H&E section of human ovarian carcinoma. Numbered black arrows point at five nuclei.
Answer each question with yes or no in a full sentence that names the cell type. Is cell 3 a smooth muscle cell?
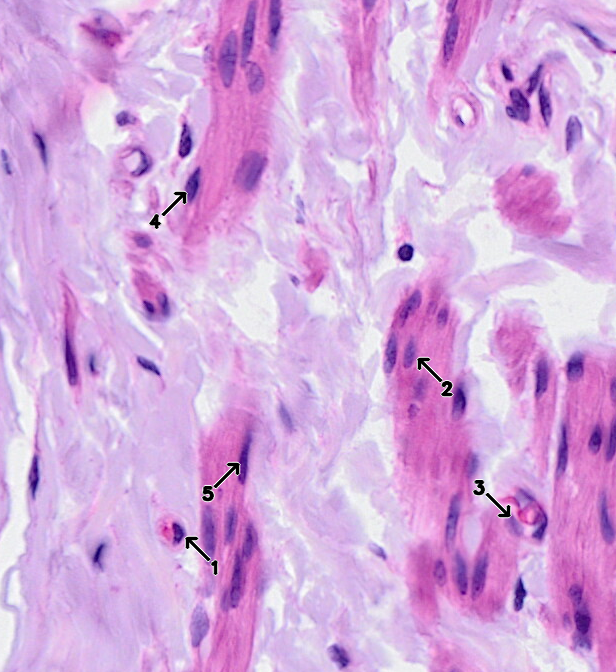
No, cell 3 should be classed as an endothelial cell, not as a smooth muscle cell.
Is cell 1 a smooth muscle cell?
No, the cell under number 1 is an endothelial cell, not a smooth muscle cell.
